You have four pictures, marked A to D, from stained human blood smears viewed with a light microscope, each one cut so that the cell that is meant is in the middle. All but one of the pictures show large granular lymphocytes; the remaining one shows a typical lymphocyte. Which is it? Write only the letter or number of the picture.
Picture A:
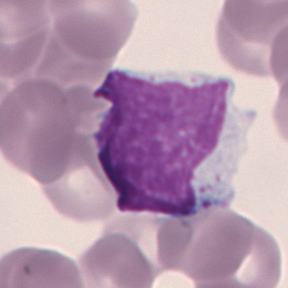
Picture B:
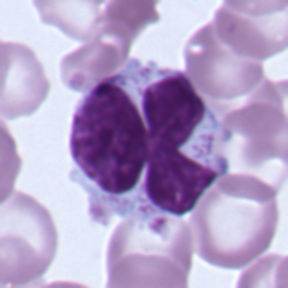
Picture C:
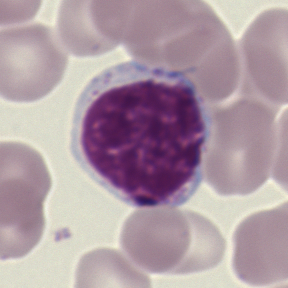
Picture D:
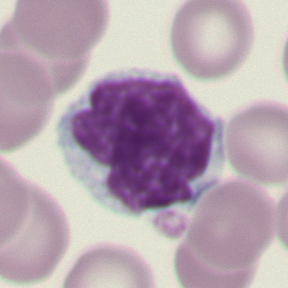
D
